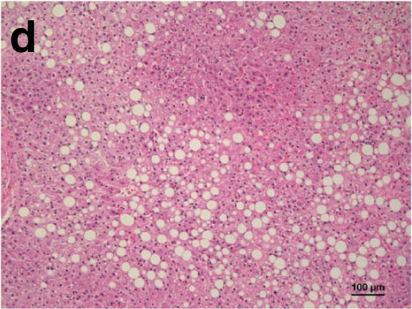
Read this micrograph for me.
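This is liver tissue with marked fatty change. Fat is unevenly spread, with denser areas of vacuoles and bands of more compact pink tissue between them. The normal cord arrangement is partly obscured by the vacuoles.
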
